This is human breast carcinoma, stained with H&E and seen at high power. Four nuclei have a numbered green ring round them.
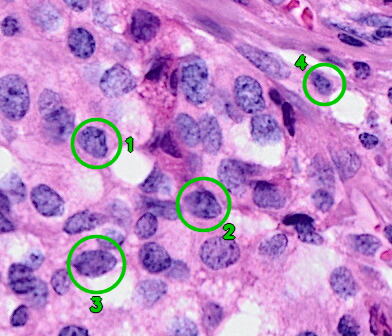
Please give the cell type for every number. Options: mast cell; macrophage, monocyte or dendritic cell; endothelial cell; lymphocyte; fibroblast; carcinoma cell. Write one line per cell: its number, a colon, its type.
1: carcinoma cell
2: carcinoma cell
3: carcinoma cell
4: mast cell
